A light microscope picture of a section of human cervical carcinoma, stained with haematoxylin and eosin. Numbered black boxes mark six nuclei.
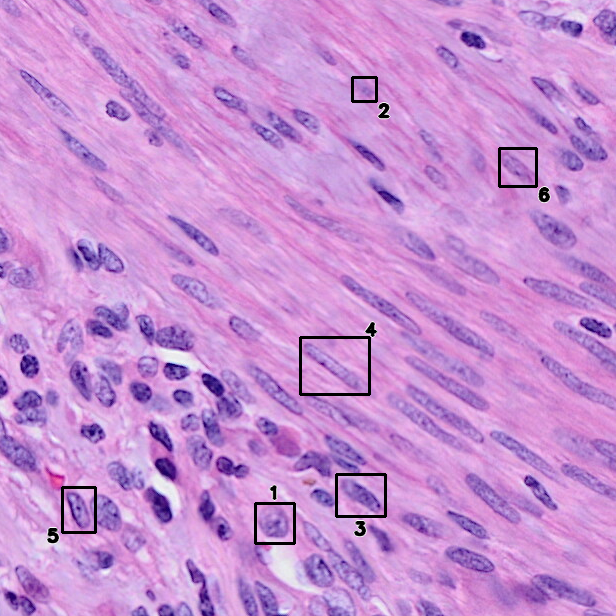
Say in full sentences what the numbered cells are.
Cells 1 and 5 are endothelial cells. Cells 2, 4 and 6 are smooth muscle cells. Cell 3 is a fibroblast.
